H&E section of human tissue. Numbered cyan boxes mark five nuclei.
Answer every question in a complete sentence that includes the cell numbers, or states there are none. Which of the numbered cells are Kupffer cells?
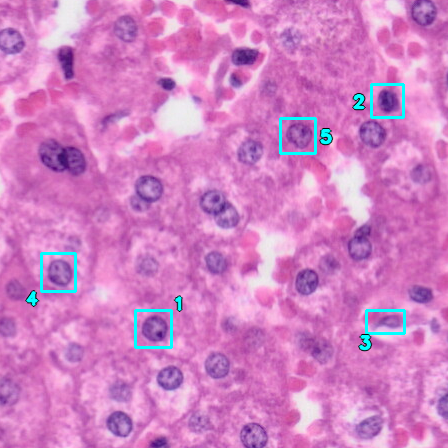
Among the numbered cells, a Kupffer cell occurs only once, as cell 3.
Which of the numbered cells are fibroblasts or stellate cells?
Only the cell numbered 2 qualifies as a fibroblast or stellate cell among the marked cells.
